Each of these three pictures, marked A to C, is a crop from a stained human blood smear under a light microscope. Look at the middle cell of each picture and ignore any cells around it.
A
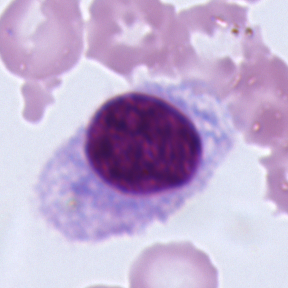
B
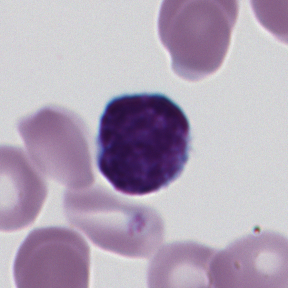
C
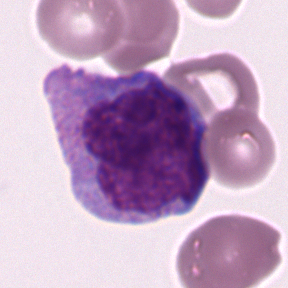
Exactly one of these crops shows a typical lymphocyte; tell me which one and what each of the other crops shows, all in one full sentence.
On inspection, crop B shows a typical lymphocyte, while crop A is a hairy cell and crop C is an atypical promyelocyte.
